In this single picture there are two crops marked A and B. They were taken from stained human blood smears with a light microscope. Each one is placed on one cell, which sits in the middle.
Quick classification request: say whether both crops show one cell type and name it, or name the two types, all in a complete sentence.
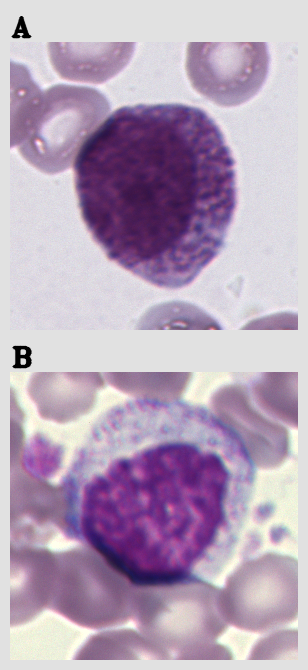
No, the correct reading is a promyelocyte in crop A and a myelocyte in crop B.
